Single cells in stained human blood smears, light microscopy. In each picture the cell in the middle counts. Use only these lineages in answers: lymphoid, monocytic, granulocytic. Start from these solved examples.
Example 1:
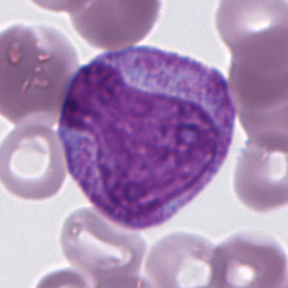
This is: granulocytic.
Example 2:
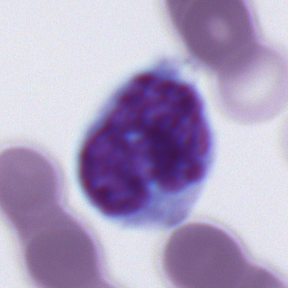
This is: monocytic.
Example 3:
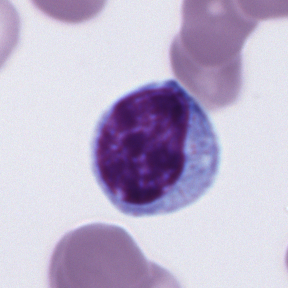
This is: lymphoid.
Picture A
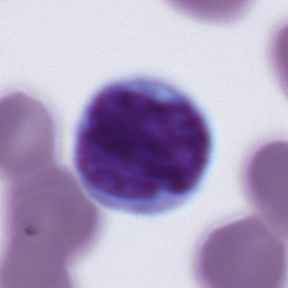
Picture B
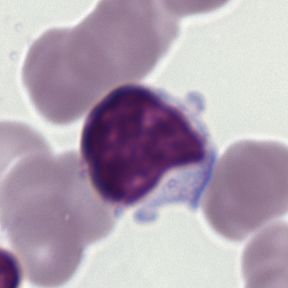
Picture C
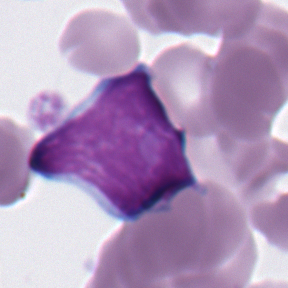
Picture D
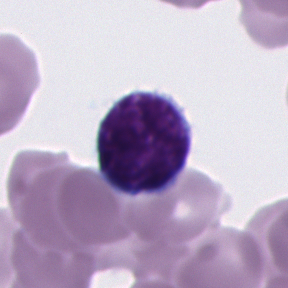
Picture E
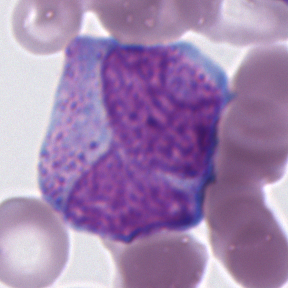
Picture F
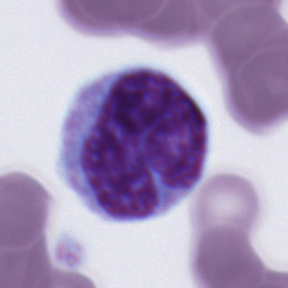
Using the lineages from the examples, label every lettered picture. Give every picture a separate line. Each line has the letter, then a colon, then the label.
A: monocytic.
B: lymphoid.
C: lymphoid.
D: lymphoid.
E: granulocytic.
F: monocytic.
